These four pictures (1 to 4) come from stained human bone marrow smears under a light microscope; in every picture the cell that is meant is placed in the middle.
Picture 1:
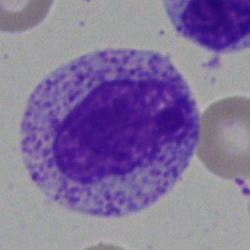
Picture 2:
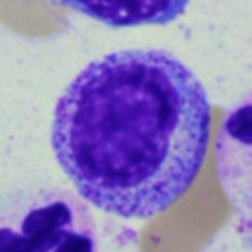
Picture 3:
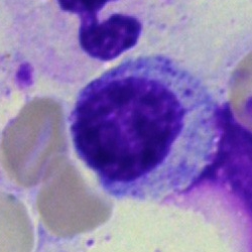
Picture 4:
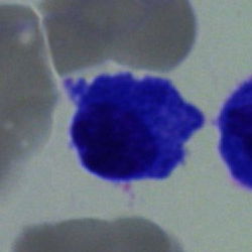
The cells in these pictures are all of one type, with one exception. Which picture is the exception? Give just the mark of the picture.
4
